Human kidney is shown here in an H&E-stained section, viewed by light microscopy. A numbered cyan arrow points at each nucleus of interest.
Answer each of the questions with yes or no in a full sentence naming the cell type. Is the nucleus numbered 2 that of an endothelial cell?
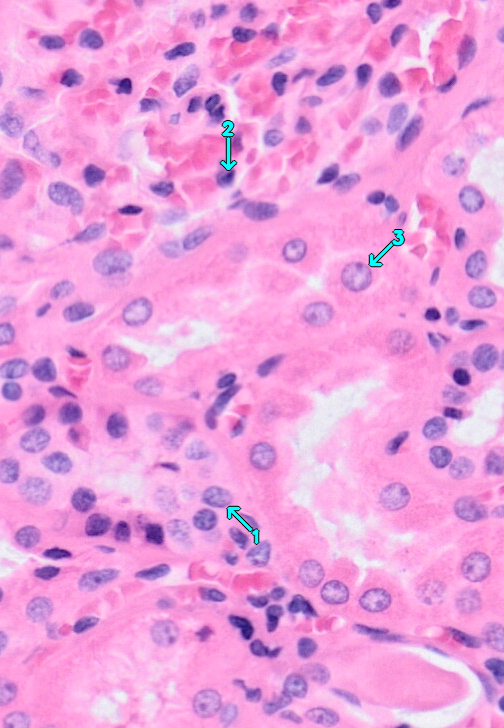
Yes, the cell that the number 2 labels is an endothelial cell.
